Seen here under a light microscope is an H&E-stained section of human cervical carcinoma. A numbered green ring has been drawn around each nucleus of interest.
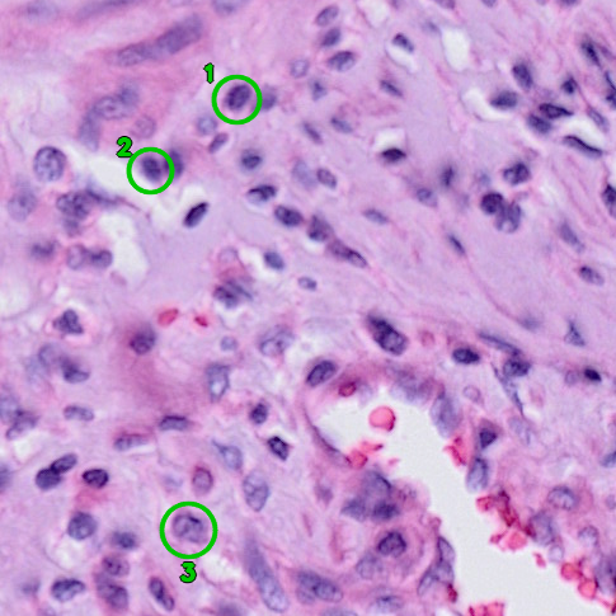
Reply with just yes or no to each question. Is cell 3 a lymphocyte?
no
